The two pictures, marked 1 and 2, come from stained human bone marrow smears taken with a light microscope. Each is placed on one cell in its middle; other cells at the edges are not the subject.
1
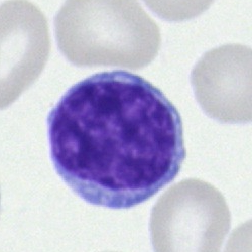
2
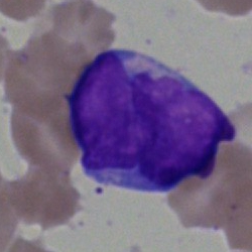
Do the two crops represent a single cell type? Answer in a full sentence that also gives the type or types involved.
No, crop 1 is where a lymphocyte is shown, and crop 2 is where a blast is shown.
